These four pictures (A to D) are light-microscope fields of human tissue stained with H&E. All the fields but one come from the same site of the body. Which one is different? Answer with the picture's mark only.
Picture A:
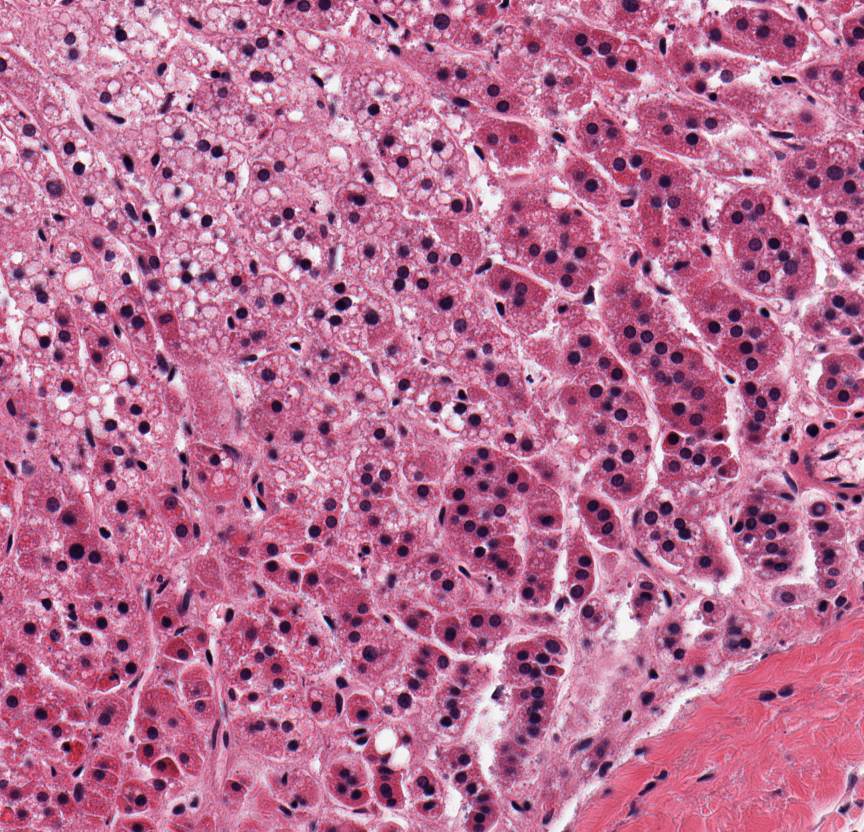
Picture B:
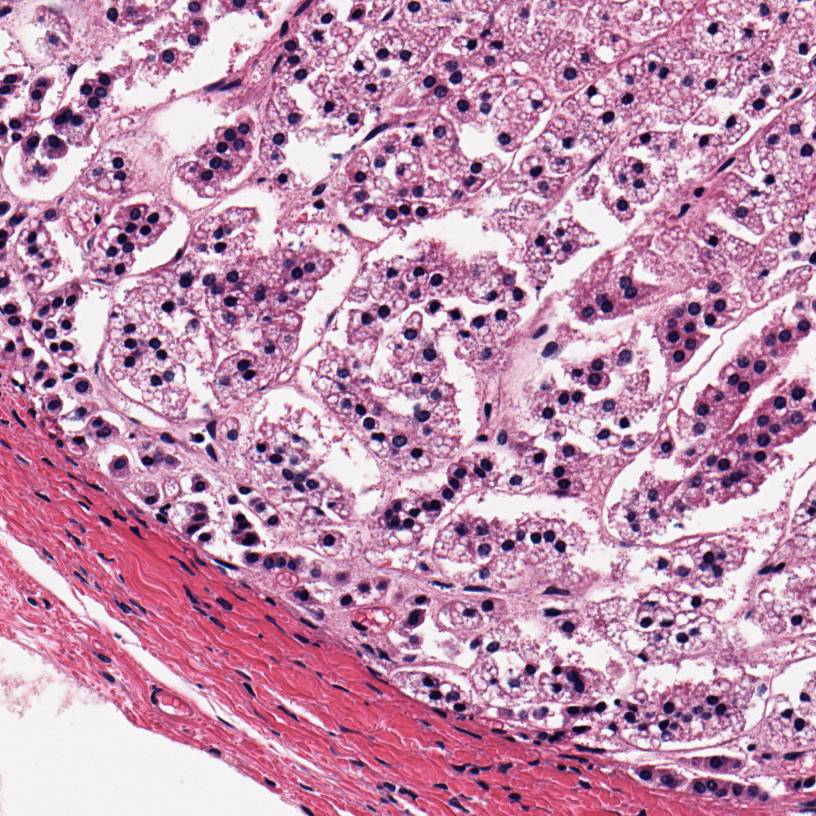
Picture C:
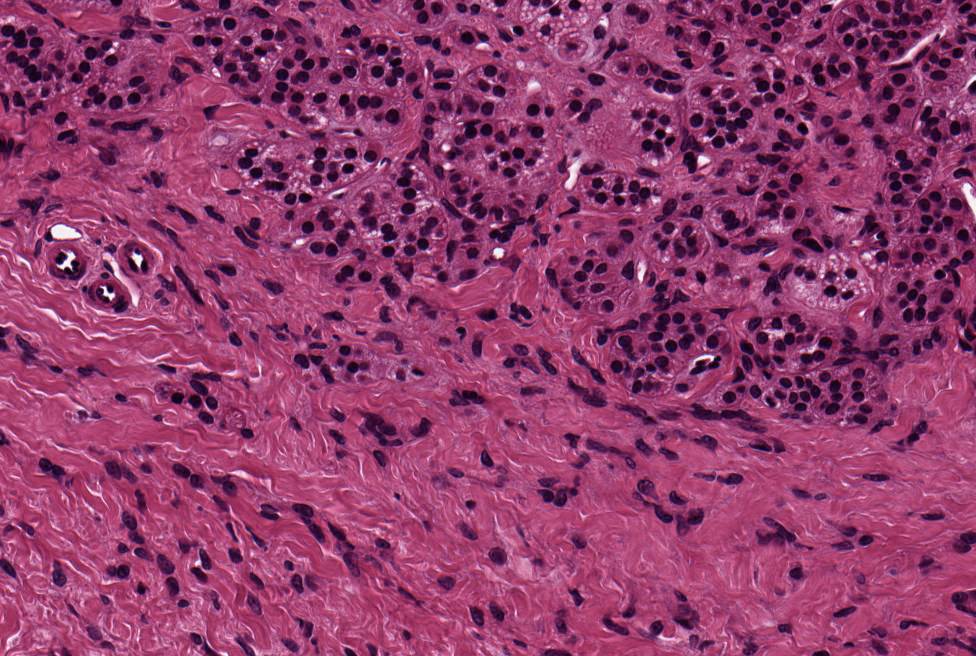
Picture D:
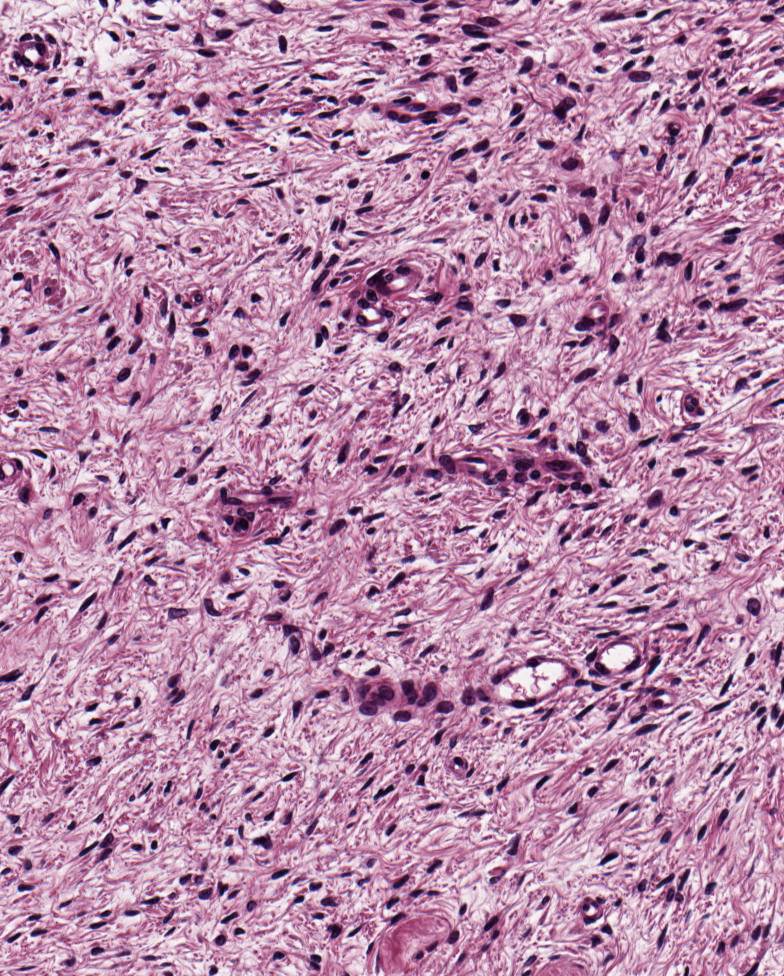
D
